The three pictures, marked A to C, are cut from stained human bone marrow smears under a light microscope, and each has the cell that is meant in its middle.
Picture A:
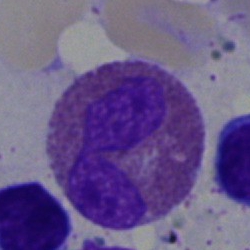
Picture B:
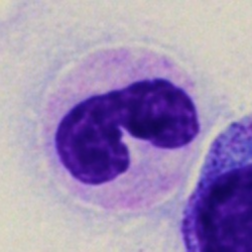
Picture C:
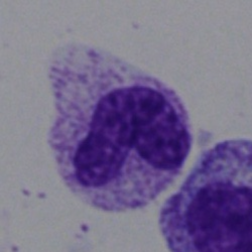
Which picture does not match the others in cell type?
A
